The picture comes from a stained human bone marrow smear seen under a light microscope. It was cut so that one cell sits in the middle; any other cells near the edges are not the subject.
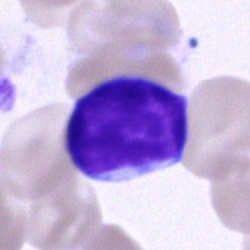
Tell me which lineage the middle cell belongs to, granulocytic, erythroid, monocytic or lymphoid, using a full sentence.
The cell occupying the middle of the crop is classified within the lymphoid lineage.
